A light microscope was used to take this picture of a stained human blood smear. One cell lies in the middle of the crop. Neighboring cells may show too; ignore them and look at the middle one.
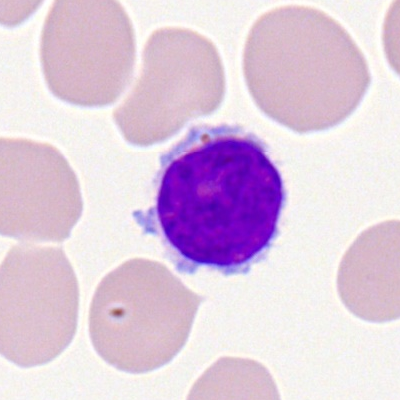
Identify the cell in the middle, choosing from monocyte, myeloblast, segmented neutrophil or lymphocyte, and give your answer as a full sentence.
Centred in the crop is a lymphocyte.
